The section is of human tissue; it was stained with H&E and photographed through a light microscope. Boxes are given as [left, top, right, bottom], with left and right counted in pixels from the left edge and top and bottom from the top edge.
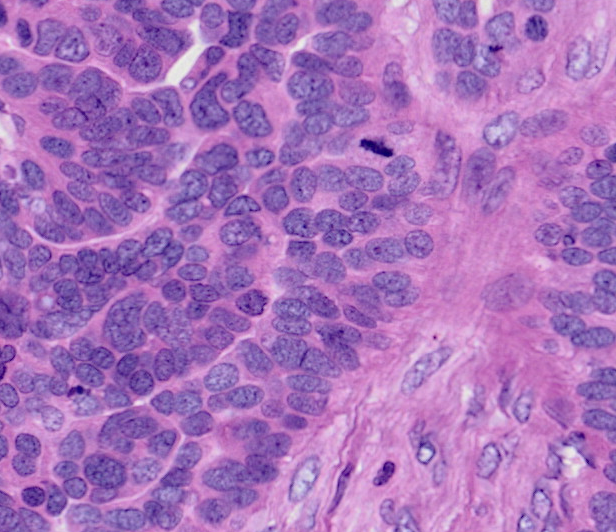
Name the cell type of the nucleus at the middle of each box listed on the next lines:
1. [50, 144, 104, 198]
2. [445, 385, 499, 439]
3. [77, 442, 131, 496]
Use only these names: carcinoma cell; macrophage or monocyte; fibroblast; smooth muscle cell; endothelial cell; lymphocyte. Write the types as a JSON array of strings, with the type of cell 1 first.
["carcinoma cell", "fibroblast", "carcinoma cell"]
